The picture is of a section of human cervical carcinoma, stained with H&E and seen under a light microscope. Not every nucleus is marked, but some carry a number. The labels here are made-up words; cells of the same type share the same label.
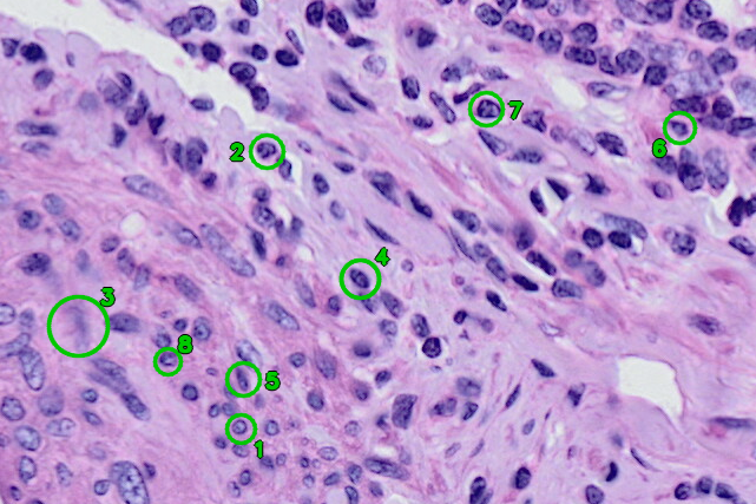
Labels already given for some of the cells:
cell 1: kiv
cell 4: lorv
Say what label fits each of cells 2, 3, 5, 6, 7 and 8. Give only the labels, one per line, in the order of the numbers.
lorv
kiv
kiv
lorv
lorv
kiv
